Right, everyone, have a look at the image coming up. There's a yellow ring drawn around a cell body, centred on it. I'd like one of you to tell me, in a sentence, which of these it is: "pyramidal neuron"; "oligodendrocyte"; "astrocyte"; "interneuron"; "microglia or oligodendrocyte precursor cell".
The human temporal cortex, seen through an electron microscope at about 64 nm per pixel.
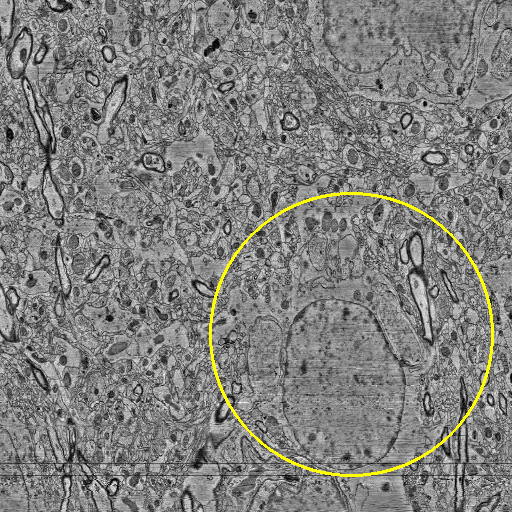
The yellow ring sits on an astrocyte.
